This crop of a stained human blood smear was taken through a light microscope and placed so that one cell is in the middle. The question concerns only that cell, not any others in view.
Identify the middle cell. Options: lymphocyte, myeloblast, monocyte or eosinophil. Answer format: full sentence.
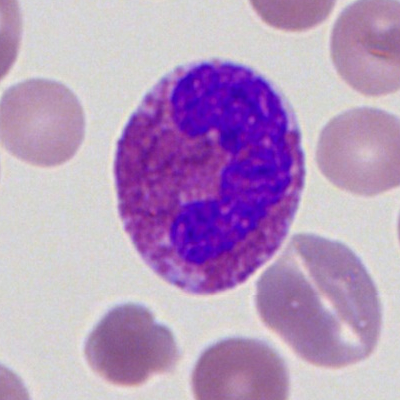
The central cell in this smear crop is an eosinophil.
